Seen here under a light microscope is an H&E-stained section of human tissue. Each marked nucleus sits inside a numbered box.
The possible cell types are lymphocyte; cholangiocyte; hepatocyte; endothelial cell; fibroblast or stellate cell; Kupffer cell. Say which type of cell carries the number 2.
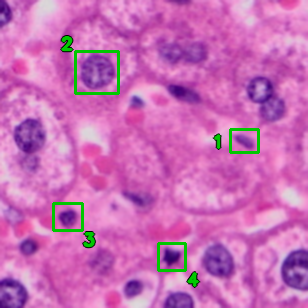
hepatocyte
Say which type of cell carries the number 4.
fibroblast or stellate cell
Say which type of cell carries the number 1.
lymphocyte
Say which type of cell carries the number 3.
lymphocyte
